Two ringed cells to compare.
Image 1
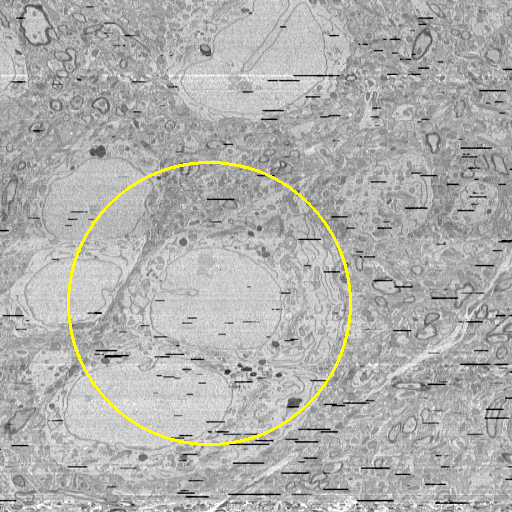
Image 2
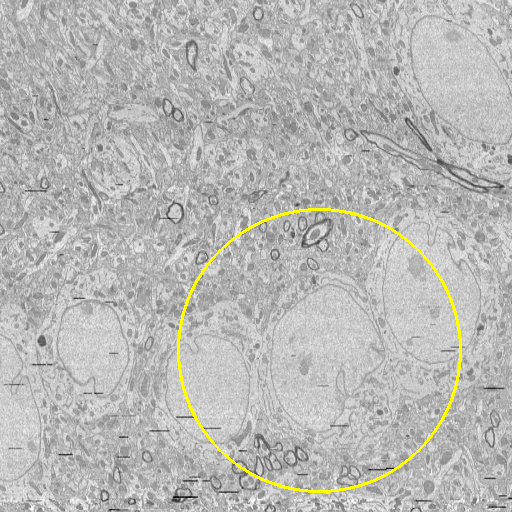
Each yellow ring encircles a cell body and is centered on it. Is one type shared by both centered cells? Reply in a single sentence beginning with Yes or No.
Yes, a single type is shared by the two cells at the centers of the rings.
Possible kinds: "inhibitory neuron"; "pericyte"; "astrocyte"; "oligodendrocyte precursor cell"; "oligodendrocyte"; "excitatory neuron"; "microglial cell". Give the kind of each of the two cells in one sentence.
The first and the second cell are each an inhibitory neuron.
